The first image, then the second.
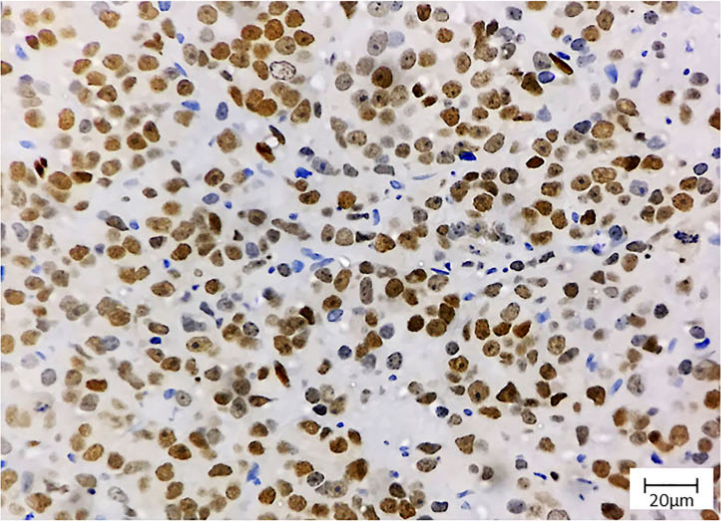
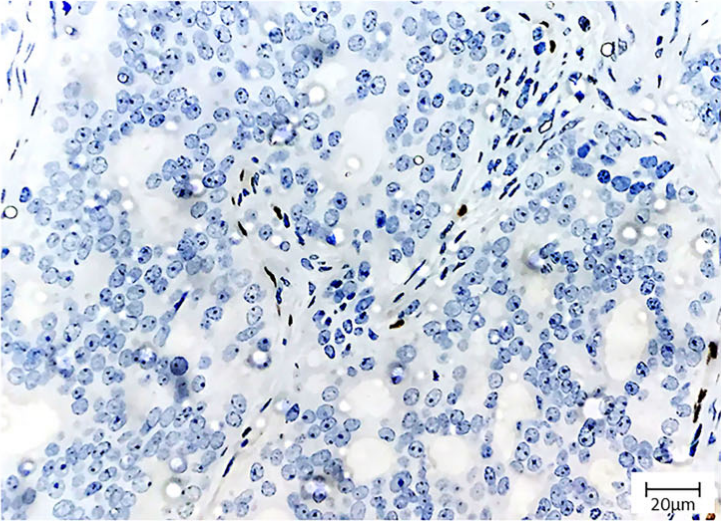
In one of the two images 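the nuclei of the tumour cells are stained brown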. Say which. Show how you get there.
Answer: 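Second image: the round tumour cell nuclei are blue, with brown only in a few slender stromal nuclei. First image: most round tumour cell nuclei are stained brown.
Conclusion: the first image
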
